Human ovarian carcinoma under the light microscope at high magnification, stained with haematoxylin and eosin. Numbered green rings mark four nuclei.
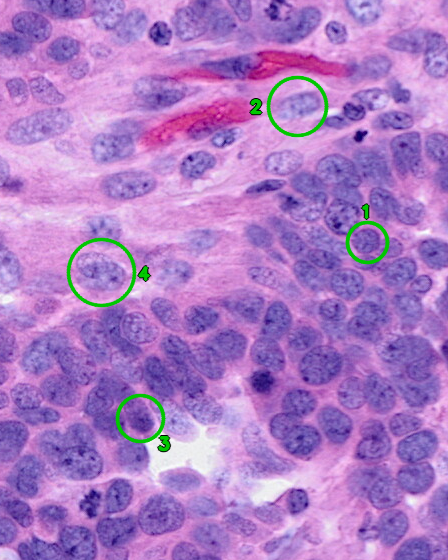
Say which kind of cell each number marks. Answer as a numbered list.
1. carcinoma cell
2. fibroblast
3. carcinoma cell
4. fibroblast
